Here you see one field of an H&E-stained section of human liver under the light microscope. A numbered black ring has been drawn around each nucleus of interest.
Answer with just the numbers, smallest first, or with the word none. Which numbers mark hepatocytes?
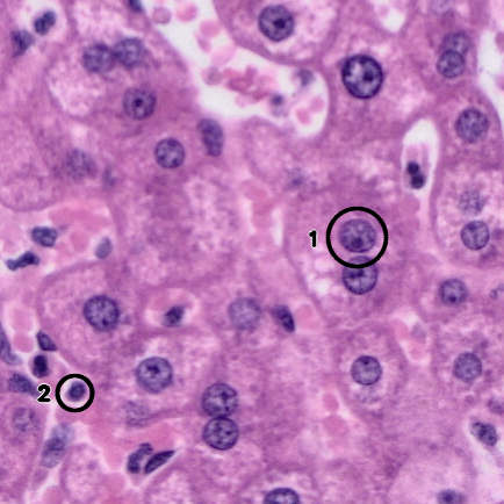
1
